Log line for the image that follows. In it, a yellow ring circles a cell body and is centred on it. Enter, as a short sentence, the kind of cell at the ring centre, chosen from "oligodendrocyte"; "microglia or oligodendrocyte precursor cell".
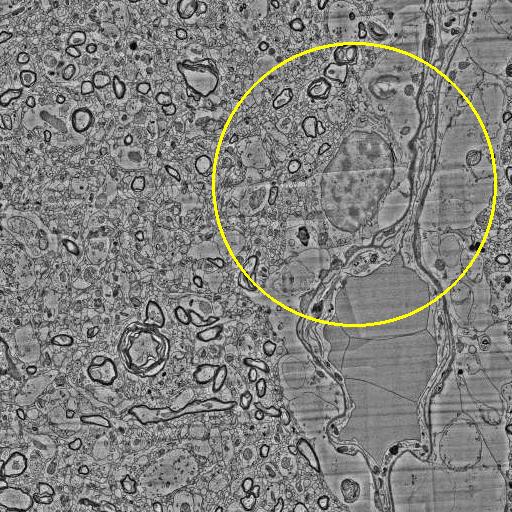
The ring centre is occupied by an oligodendrocyte.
